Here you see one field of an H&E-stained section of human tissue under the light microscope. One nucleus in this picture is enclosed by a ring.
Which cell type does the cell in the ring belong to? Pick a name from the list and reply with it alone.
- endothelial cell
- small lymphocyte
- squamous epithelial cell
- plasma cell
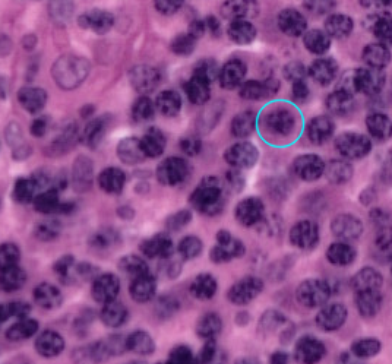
plasma cell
